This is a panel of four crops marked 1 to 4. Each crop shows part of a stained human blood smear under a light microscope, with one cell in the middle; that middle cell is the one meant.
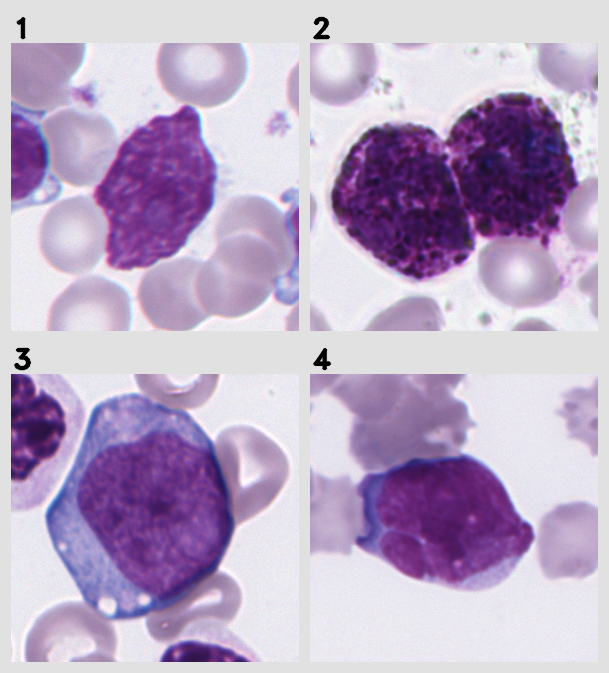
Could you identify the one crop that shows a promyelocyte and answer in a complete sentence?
Crop 3 is the crop whose central cell is a promyelocyte.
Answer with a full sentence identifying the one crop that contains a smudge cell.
In the set of crops, crop 1 is the one that contains a smudge cell.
